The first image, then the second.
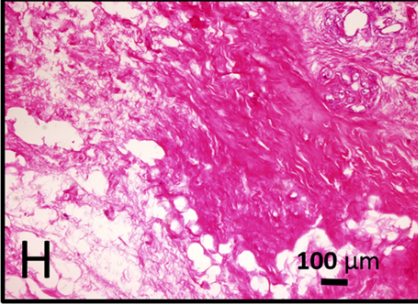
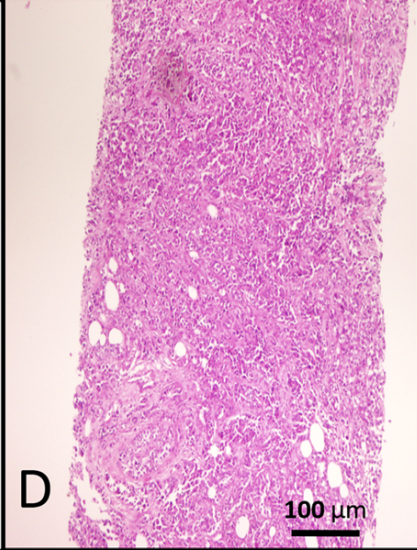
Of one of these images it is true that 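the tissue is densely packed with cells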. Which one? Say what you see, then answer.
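First image: mostly pink fibrous tissue and fat with few nuclei. Second image: crowded cells with purple nuclei fill nearly the whole core.
Conclusion: the second image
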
